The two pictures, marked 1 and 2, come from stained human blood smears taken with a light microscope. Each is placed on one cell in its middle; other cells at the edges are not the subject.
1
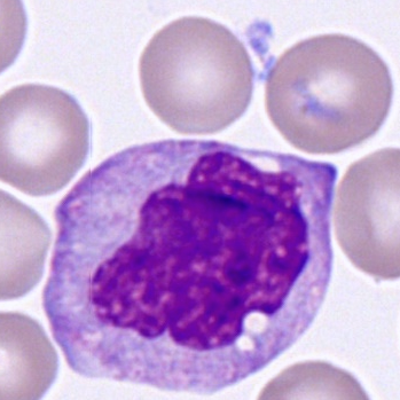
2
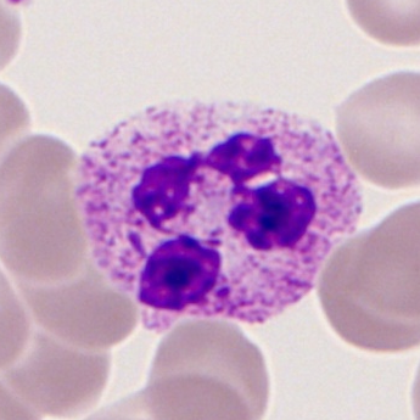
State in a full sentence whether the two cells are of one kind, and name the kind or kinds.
No, crop 1 holds a monocyte, and a segmented neutrophil occupies crop 2.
